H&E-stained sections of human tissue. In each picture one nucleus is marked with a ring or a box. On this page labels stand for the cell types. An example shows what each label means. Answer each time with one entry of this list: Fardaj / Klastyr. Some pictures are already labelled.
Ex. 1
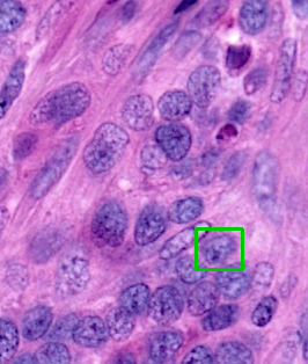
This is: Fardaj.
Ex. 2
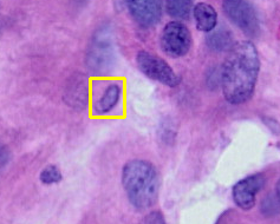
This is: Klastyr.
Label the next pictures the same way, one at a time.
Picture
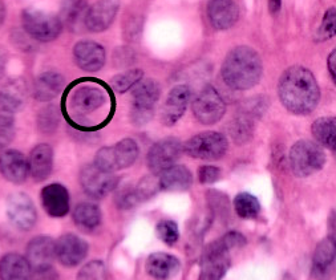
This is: Fardaj.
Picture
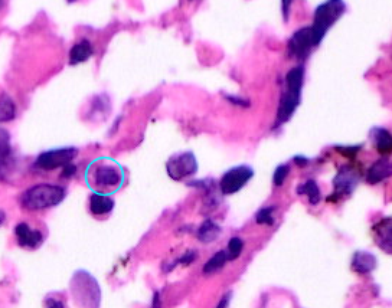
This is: Klastyr.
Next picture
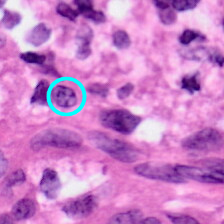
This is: Klastyr.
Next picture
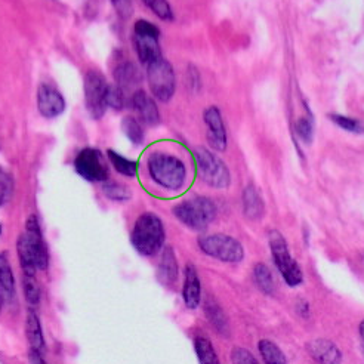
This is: Klastyr.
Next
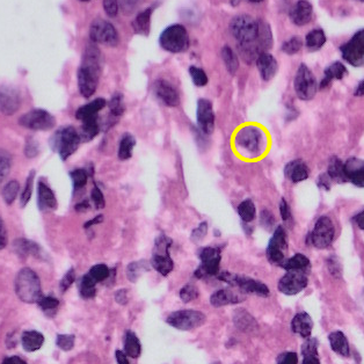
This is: Klastyr.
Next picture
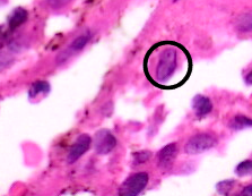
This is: Klastyr.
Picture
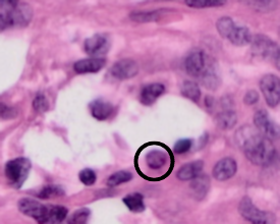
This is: Klastyr.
